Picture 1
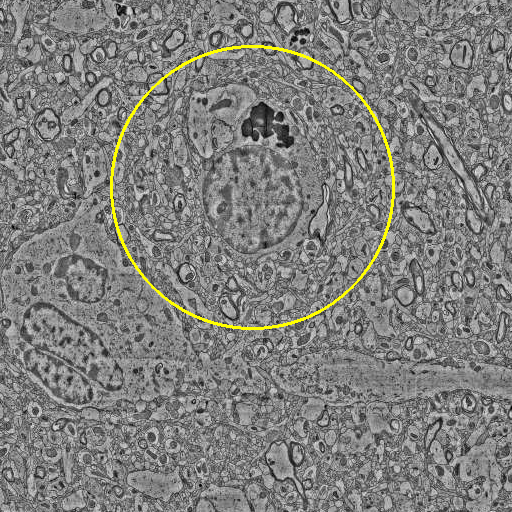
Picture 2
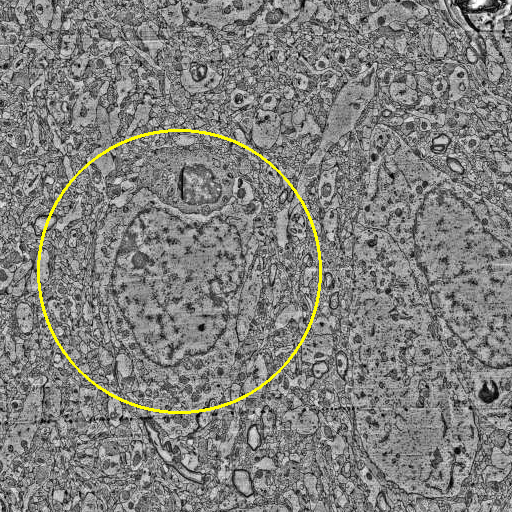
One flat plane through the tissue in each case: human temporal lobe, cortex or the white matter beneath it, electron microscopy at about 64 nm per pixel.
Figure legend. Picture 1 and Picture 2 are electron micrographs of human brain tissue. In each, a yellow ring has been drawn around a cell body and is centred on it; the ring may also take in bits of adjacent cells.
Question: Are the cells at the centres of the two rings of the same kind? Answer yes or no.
no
